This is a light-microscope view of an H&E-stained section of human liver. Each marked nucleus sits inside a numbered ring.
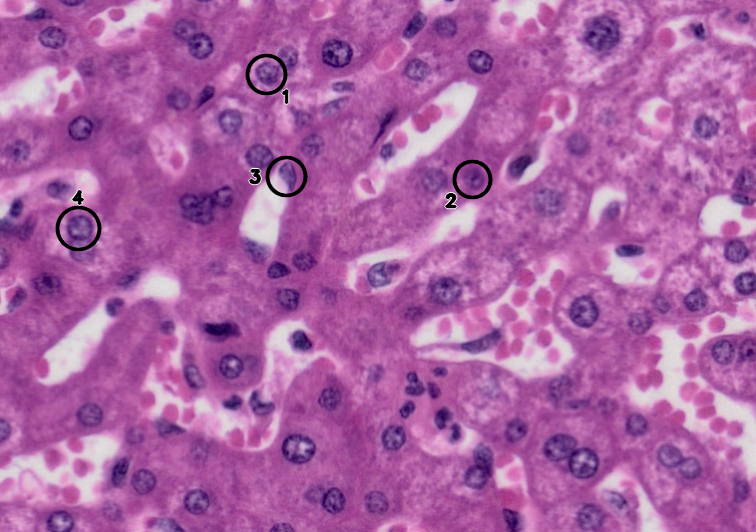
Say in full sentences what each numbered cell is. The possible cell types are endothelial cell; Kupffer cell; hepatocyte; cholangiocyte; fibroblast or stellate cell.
Cells 1, 2 and 4 are hepatocytes. Cell 3 is an endothelial cell.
